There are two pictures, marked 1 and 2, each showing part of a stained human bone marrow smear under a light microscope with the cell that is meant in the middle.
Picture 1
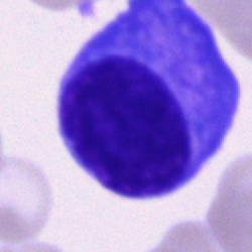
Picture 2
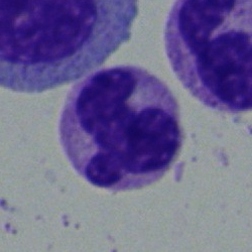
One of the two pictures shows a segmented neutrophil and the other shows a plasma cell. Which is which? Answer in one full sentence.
Picture 1 is of a plasma cell, and picture 2 is of a segmented neutrophil.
